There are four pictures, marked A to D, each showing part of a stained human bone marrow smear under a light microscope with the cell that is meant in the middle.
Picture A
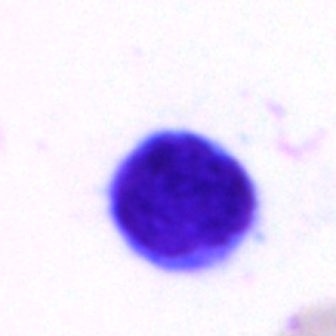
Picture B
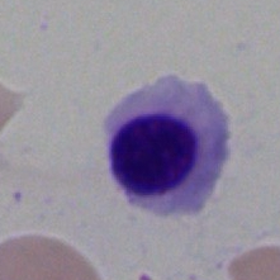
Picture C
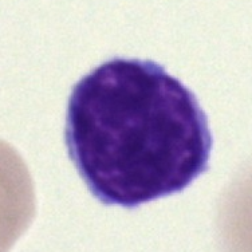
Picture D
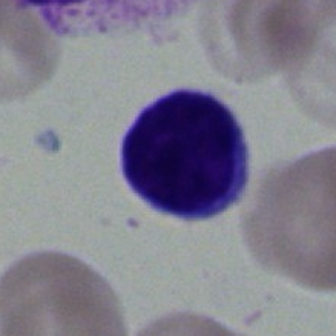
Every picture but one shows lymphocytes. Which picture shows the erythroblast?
B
